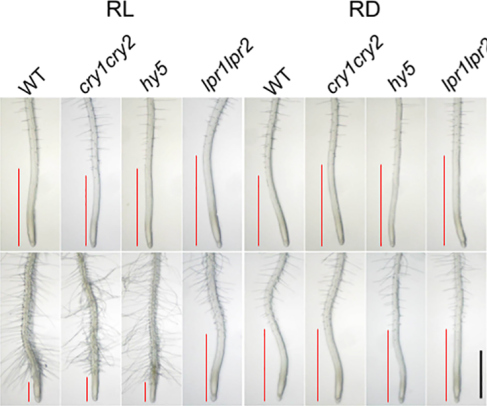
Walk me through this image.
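A grid of unstained, translucent root tips is shown, each a slender cylinder tapering to a rounded apex at the bottom. In every root the apical stretch is smooth and lacks root hairs, while farther up fine hairs grow out from the surface. In some of the roots of the lower row the hairless apical stretch is short and the hairs are long and dense close to the tip, whereas in the others the hairless stretch is long.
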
